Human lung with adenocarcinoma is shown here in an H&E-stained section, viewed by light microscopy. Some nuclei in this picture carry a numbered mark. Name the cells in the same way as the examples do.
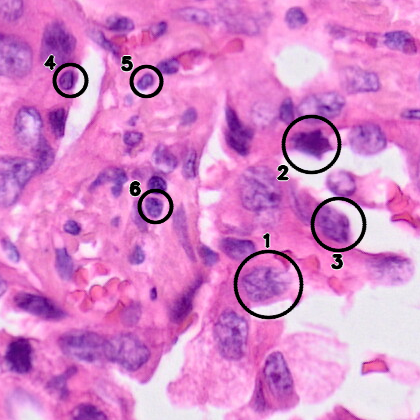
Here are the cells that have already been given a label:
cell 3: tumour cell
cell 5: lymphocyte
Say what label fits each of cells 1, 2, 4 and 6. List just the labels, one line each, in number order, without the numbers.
tumour cell
tumour cell
lymphocyte
lymphocyte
